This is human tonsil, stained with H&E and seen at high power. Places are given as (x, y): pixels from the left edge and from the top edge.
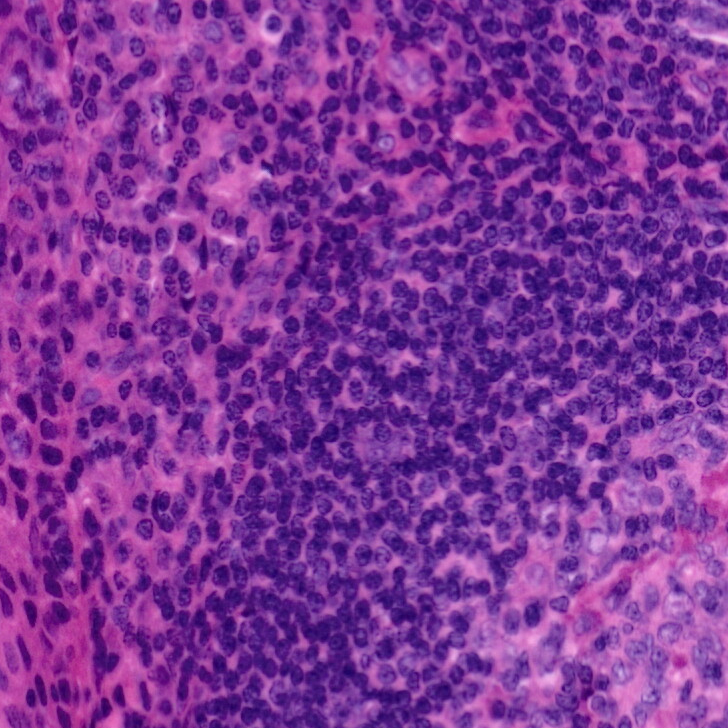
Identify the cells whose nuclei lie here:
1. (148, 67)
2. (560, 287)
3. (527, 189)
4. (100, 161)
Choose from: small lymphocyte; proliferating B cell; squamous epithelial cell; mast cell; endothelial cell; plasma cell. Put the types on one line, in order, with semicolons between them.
plasma cell; small lymphocyte; small lymphocyte; plasma cell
